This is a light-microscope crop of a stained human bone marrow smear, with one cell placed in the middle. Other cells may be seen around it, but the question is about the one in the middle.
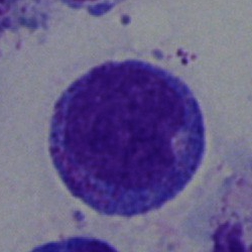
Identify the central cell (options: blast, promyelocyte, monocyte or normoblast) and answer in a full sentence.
At the center of the crop sits a blast.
